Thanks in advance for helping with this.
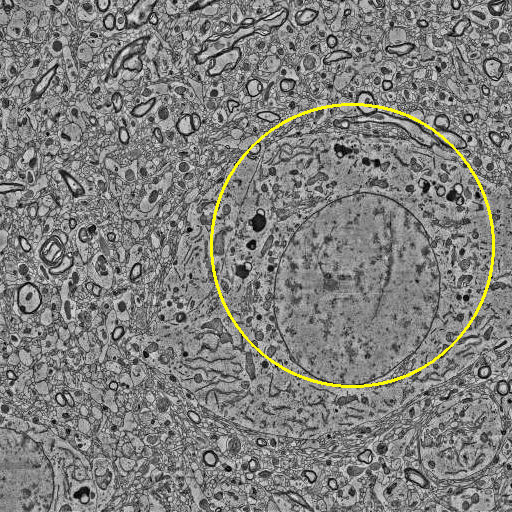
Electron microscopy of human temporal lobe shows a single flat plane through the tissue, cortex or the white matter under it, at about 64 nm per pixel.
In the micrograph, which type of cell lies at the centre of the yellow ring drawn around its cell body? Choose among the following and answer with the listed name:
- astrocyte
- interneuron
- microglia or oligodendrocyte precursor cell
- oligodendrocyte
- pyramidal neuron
pyramidal neuron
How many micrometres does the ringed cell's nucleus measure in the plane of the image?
In this plane, the nucleus measures approximately 12 micrometres across.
